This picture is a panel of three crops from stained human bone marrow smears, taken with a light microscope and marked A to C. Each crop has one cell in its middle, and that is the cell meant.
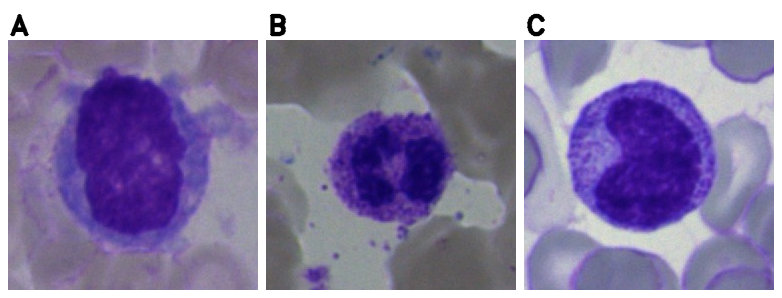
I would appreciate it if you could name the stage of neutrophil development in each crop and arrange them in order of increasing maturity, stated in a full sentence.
Ranked in ascending maturity, the crops are crop A (a promyelocyte), crop C (a metamyelocyte) and crop B (a segmented neutrophil).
